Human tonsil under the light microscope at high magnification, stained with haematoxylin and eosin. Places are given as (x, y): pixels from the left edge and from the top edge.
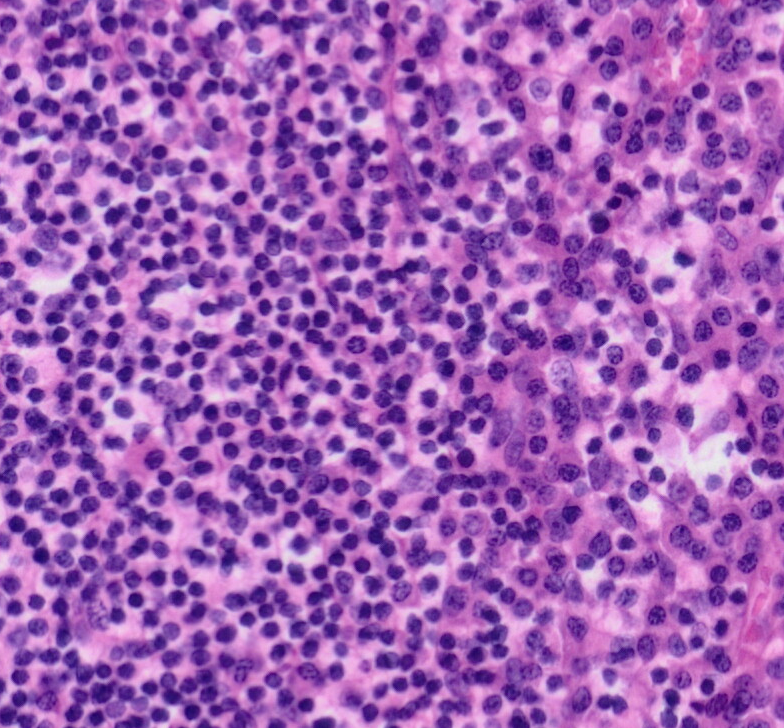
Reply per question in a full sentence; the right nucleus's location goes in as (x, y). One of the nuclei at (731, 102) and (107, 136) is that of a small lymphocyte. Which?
Of the two nuclei present, the one at (107, 136) is within a small lymphocyte.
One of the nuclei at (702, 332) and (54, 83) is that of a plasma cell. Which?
The nucleus of the pair that lies within a plasma cell is at (702, 332).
